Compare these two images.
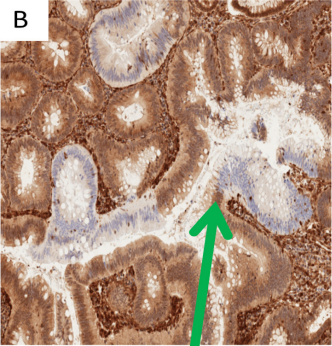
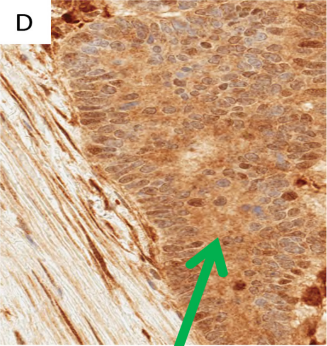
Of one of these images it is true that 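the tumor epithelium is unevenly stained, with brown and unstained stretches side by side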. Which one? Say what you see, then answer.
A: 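The first image. First image: most glands are brown but some stretches of epithelium are blue and unstained.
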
